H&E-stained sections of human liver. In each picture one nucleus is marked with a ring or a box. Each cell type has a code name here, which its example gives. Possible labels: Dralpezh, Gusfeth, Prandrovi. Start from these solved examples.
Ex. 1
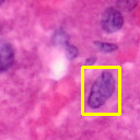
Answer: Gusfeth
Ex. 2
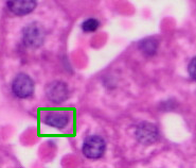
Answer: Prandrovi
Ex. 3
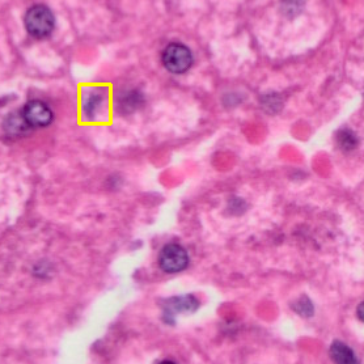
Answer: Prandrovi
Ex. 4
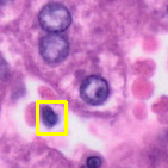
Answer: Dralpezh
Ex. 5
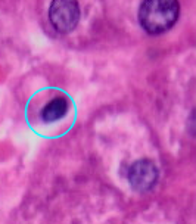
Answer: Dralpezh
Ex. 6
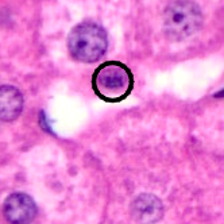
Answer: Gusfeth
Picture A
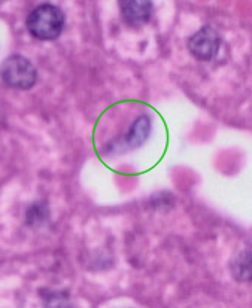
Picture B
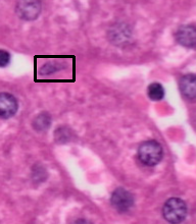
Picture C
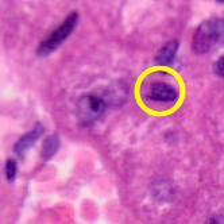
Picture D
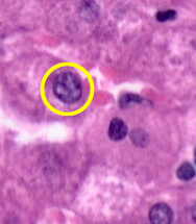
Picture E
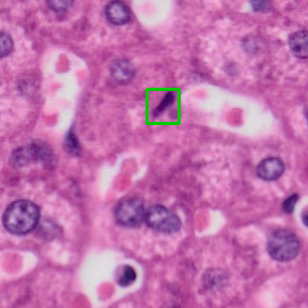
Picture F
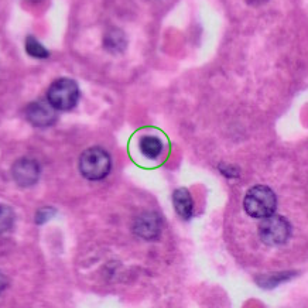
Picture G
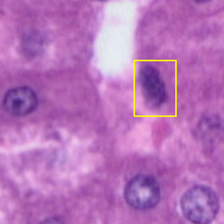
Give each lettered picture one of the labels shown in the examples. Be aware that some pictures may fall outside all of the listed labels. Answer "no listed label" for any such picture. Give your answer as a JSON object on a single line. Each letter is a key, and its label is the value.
{"A": "Gusfeth", "B": "Prandrovi", "C": "Prandrovi", "D": "no listed label", "E": "Prandrovi", "F": "Dralpezh", "G": "Prandrovi"}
